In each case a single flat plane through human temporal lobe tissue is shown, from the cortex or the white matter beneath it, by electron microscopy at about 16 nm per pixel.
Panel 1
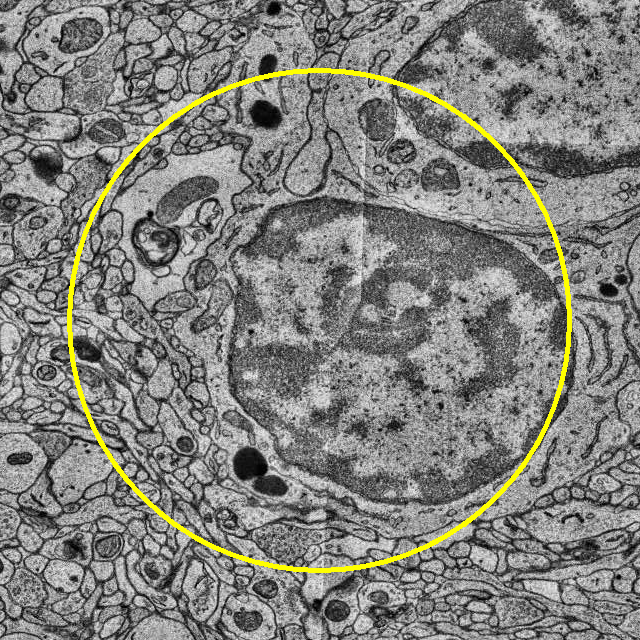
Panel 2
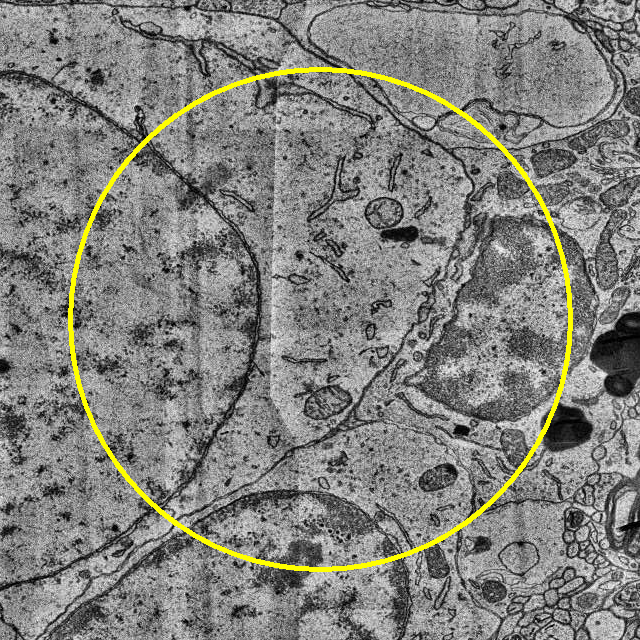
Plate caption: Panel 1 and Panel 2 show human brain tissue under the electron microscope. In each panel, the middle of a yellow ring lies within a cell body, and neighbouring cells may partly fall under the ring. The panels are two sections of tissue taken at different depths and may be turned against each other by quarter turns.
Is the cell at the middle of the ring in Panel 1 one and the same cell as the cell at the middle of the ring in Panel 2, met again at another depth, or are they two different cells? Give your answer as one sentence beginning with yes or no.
Yes, the two rings encircle a single cell, not a pair.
